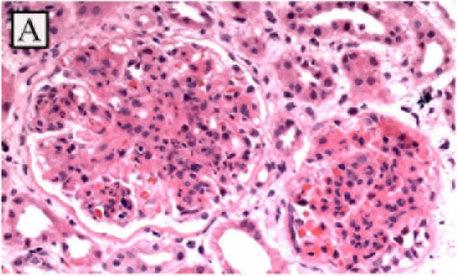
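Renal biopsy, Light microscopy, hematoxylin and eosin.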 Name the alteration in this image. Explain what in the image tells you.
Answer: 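Marked global endocapillary hypercellularity. Glomerular tufts are crowded with nuclei throughout. Open capillary lumina are hardly visible within the tufts. The tufts fill almost all of Bowman's capsule.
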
